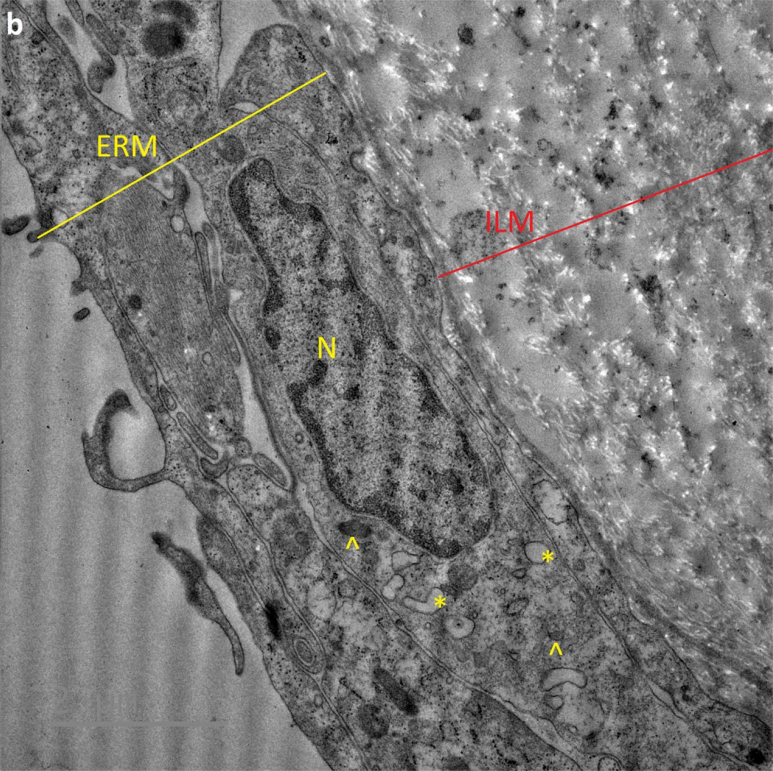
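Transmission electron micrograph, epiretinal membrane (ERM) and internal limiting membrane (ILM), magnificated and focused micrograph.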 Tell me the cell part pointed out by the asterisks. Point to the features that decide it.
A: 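The asterisks sit beside pale, electron-lucent, membrane-bound spaces in the cytoplasm. These spaces are rounded or curved and lighter than the surrounding cytoplasm. So: vacuoles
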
